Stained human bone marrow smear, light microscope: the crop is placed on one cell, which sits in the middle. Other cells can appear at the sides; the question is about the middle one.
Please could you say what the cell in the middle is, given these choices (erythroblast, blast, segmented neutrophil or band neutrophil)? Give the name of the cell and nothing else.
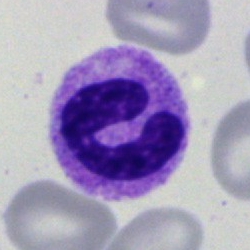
band neutrophil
